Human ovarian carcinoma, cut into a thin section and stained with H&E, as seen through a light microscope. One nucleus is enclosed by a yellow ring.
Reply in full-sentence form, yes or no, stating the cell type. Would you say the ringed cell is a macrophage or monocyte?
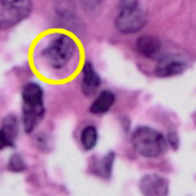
Yes, a macrophage or monocyte is the correct identification for the ringed cell.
